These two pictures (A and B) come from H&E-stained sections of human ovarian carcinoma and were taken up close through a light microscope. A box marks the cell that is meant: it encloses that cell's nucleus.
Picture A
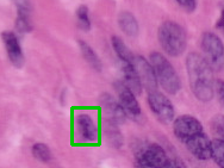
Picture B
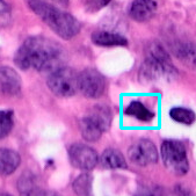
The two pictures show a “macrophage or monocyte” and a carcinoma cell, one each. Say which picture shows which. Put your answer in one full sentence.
Picture A shows a “macrophage or monocyte” and picture B shows a carcinoma cell.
